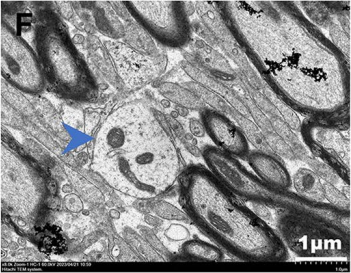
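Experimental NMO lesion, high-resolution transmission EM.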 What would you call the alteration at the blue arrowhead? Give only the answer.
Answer: naked axons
